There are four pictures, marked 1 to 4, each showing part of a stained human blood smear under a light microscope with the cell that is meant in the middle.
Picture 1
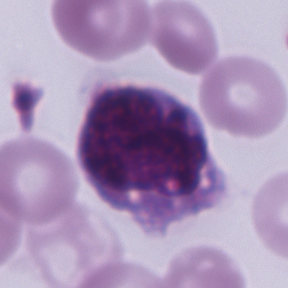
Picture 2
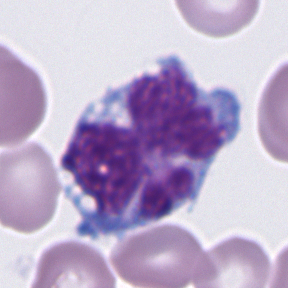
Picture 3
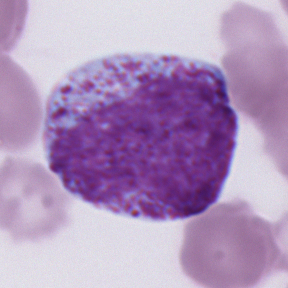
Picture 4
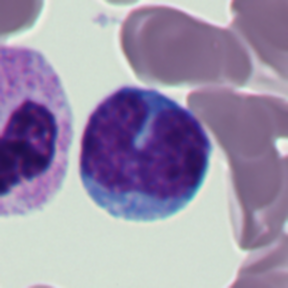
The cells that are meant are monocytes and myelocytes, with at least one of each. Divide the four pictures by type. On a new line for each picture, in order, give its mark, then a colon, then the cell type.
1: monocyte
2: monocyte
3: myelocyte
4: monocyte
